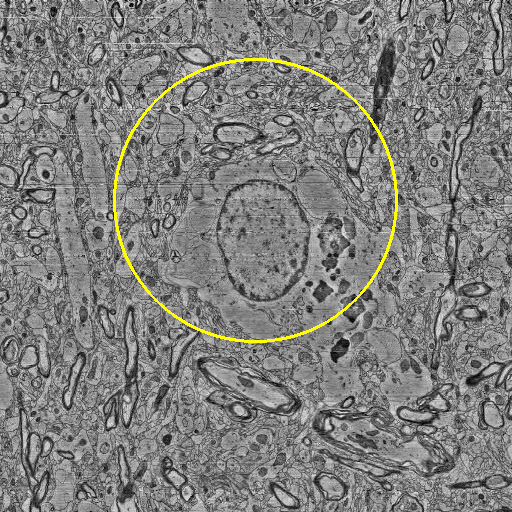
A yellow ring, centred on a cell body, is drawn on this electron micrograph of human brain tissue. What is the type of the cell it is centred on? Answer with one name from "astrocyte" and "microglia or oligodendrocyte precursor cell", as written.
astrocyte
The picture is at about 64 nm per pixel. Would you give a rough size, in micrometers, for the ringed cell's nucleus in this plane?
In this plane, roughly 8 by 6 micrometres.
